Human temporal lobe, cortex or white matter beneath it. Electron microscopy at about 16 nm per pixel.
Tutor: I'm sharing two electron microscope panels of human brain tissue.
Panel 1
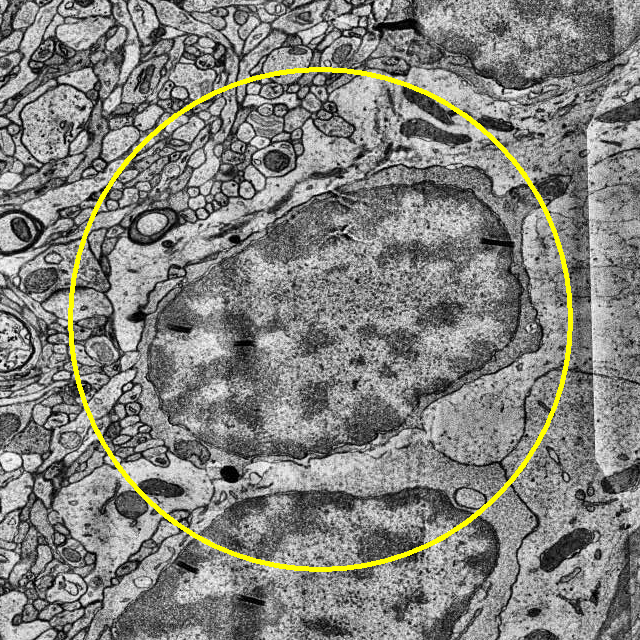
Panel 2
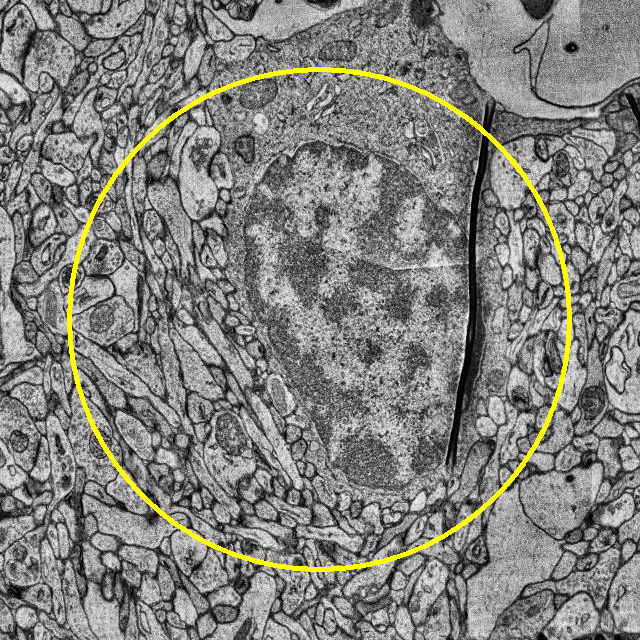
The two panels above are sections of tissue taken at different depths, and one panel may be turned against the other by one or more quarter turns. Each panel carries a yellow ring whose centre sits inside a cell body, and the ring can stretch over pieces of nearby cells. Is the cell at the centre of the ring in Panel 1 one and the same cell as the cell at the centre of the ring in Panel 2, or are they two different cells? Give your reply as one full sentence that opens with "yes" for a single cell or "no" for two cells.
No, two distinct cells are each enclosed by a yellow ring.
